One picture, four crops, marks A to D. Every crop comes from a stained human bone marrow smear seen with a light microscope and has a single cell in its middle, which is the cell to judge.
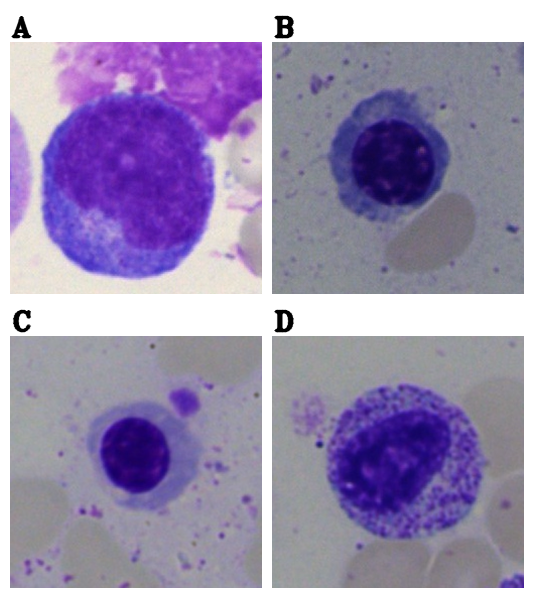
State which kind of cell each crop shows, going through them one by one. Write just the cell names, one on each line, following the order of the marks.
blast
erythroblast
erythroblast
myelocyte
